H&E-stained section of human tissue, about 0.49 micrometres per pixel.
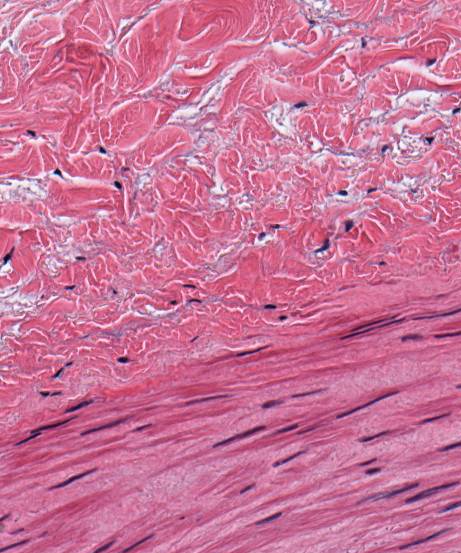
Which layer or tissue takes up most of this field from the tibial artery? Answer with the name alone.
tunica adventitia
